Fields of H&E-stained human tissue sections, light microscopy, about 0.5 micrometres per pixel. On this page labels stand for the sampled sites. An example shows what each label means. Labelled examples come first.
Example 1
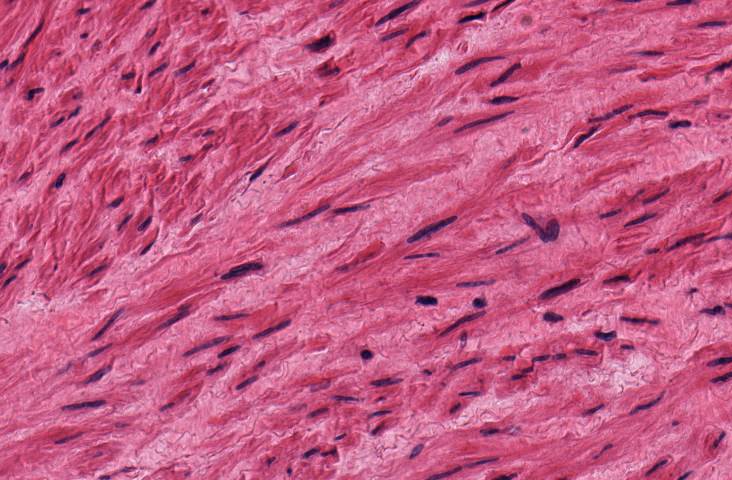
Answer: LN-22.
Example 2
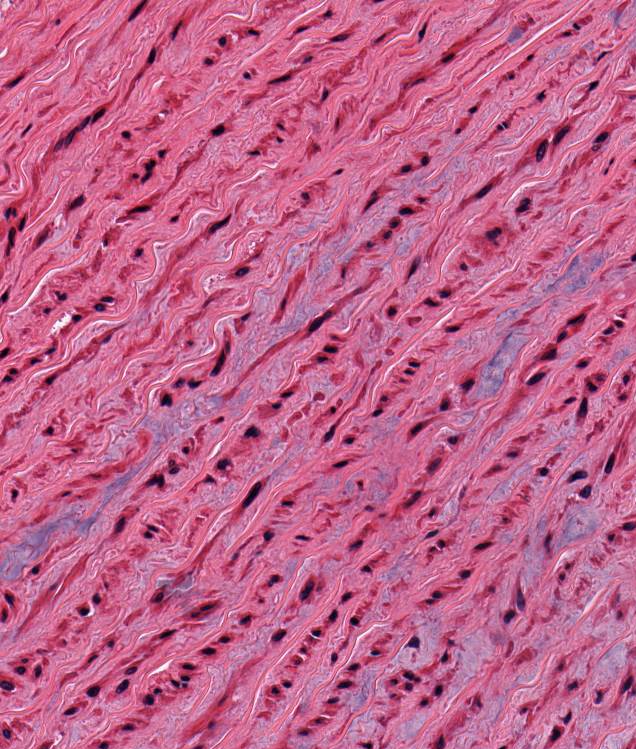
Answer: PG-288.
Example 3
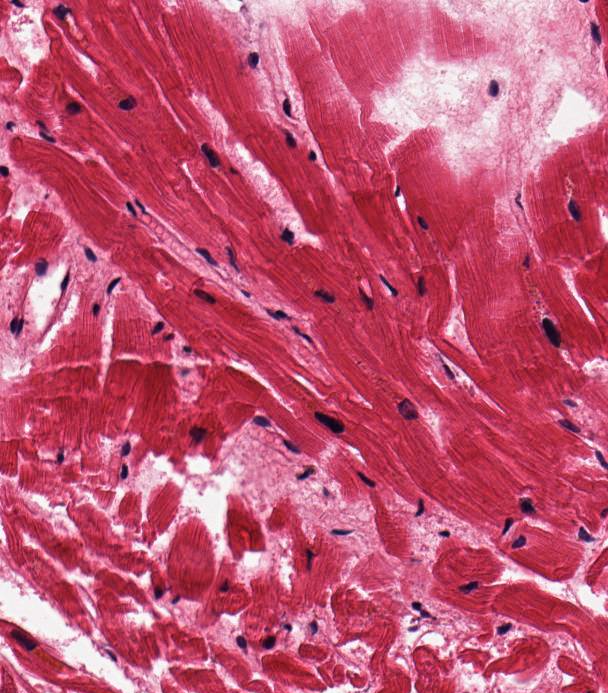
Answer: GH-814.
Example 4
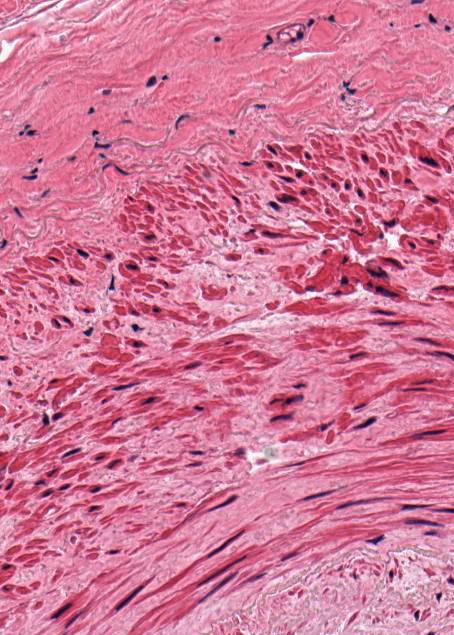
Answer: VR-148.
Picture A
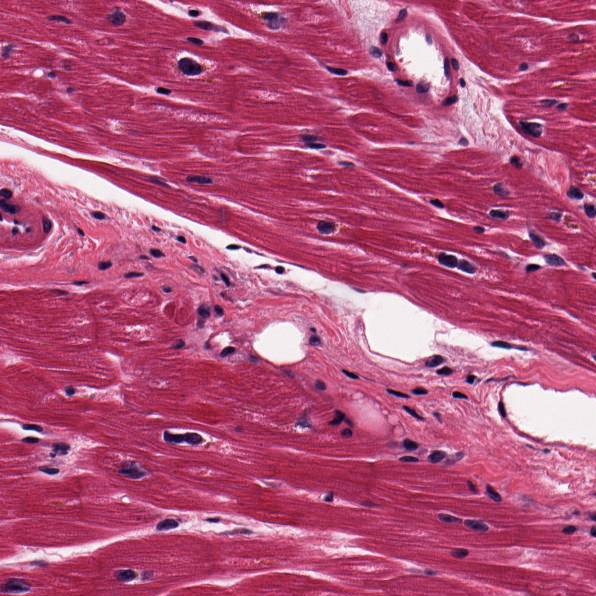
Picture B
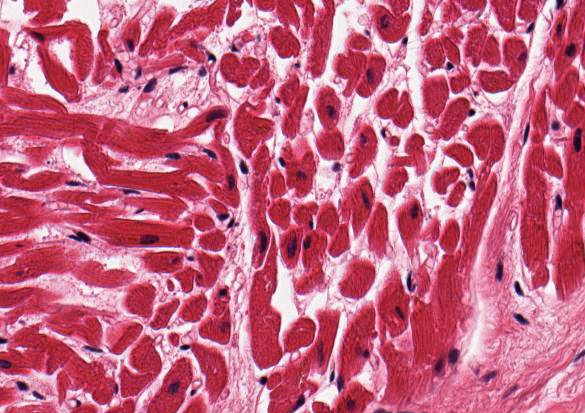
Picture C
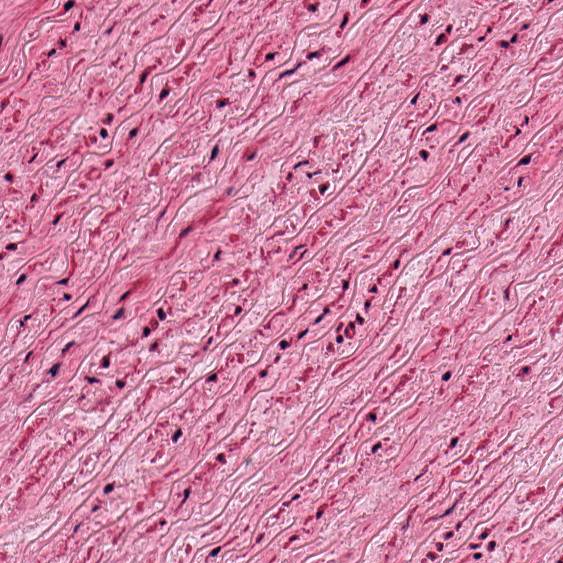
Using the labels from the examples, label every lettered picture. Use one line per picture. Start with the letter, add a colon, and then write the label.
A: GH-814.
B: GH-814.
C: PG-288.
